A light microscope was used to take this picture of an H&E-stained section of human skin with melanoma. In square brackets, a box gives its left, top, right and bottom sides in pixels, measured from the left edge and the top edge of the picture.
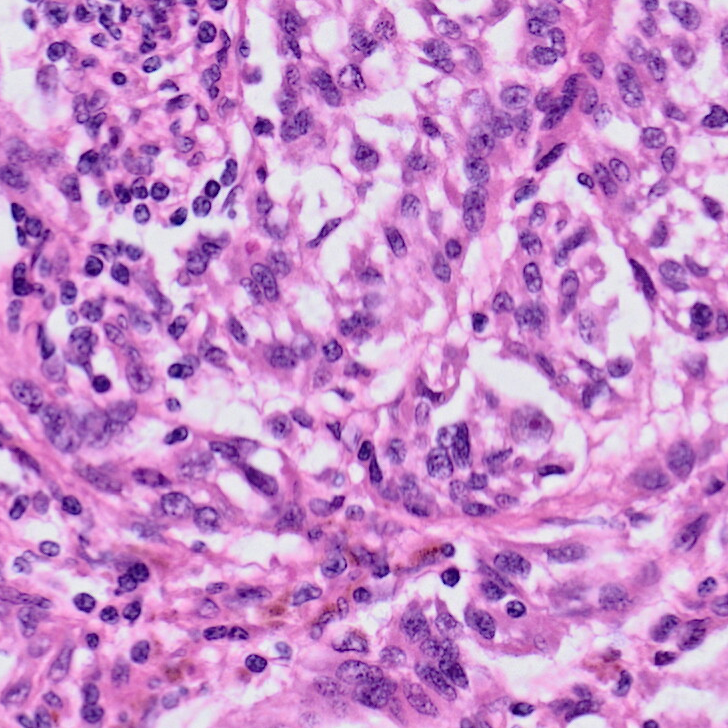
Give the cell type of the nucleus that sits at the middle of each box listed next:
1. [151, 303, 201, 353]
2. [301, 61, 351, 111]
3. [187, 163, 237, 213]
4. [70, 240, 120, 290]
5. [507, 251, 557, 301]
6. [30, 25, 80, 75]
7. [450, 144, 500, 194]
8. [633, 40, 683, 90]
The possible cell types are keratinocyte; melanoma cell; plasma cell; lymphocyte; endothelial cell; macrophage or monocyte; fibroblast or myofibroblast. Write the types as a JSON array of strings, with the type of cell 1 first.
["lymphocyte", "melanoma cell", "lymphocyte", "lymphocyte", "melanoma cell", "lymphocyte", "melanoma cell", "melanoma cell"]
